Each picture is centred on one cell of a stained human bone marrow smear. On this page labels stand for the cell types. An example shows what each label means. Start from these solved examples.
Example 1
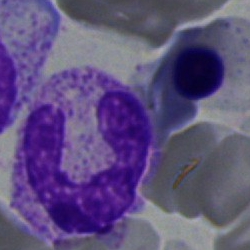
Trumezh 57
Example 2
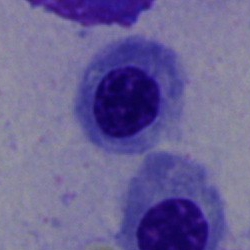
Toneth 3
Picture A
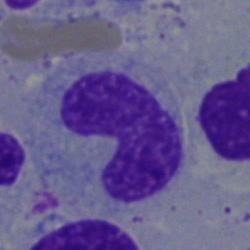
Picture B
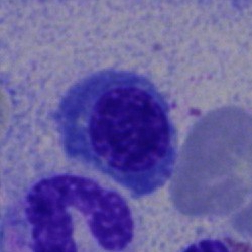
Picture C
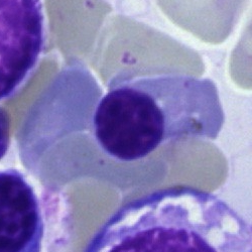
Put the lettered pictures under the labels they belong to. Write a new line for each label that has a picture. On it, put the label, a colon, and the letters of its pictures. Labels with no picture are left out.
Trumezh 57: A
Toneth 3: B, C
